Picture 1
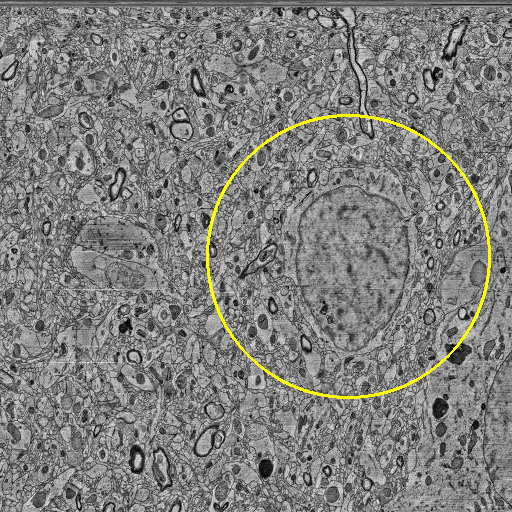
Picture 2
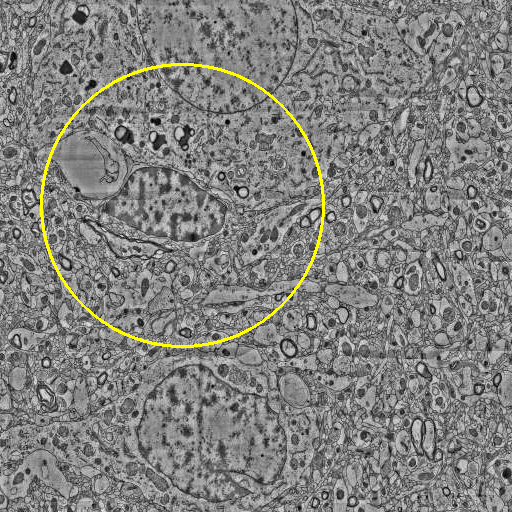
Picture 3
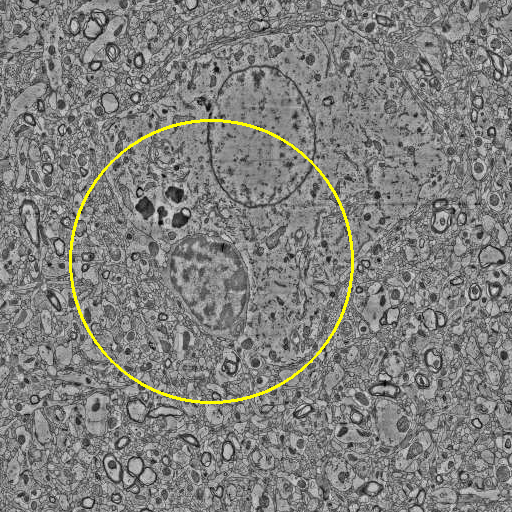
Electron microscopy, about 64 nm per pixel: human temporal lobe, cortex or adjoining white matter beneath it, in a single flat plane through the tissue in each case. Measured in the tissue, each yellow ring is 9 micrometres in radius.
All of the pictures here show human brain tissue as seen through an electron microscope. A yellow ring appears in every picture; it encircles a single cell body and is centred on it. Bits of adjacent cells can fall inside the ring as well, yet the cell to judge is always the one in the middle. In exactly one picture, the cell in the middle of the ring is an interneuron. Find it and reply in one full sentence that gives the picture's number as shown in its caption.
Of all the pictures, picture 1 has the right cell at the centre of its ring.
